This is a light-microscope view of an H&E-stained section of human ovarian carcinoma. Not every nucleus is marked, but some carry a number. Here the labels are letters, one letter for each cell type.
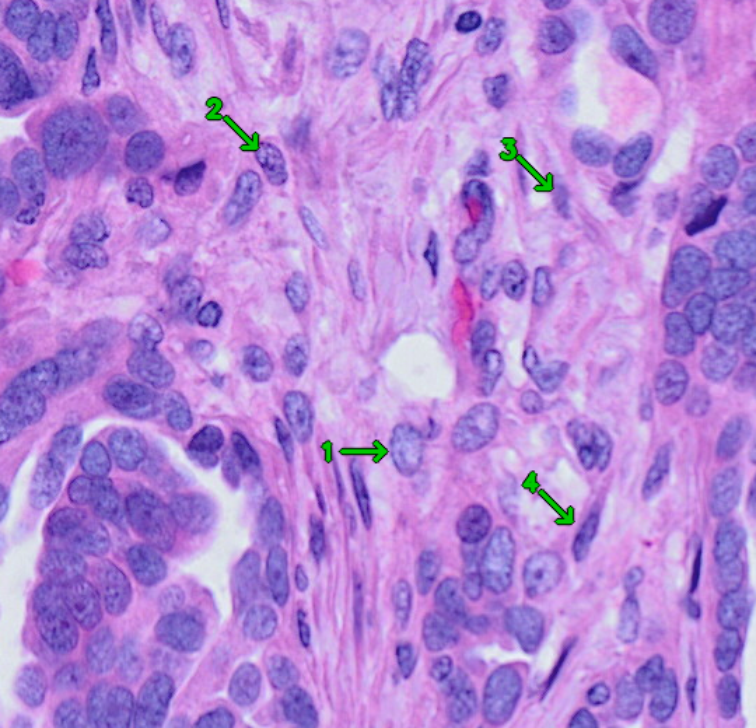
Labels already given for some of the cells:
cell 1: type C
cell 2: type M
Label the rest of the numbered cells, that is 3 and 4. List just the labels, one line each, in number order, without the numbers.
type C
type C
